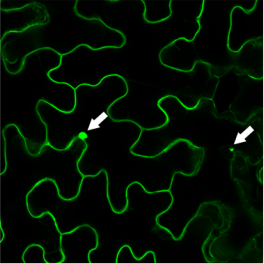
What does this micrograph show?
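Leaf epidermal pavement cells with wavy, interlocking lobed outlines traced by a thin green line at the cell periphery. A few small bright green dots sit on the cell outlines, standing out from the even border fluorescence. Cell interiors are dark.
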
